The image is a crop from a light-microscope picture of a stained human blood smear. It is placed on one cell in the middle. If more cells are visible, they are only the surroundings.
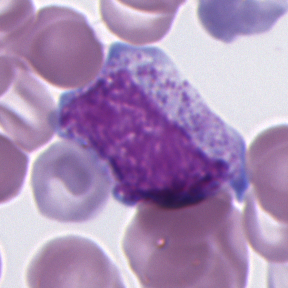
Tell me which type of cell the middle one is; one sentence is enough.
Classified as a promyelocyte is the cell in the middle of this crop.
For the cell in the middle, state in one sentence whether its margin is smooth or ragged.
The edge of the cell is broken up by ragged stretches or by outward projections.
